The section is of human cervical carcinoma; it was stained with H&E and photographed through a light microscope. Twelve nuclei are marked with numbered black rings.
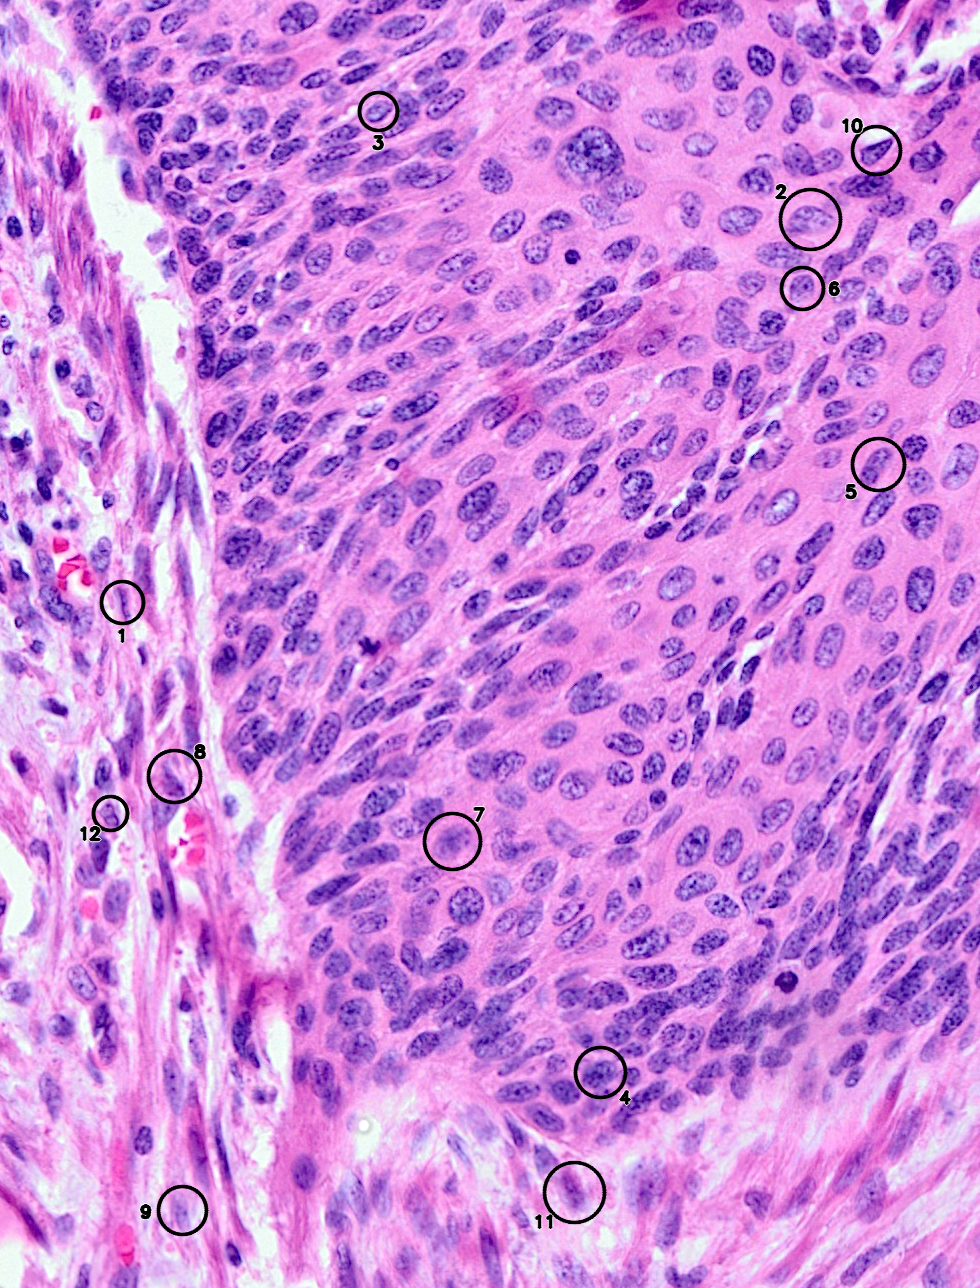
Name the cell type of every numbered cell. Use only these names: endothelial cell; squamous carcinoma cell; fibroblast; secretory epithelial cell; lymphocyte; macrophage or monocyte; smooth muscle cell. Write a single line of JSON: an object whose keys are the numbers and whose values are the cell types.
{"1": "fibroblast", "2": "squamous carcinoma cell", "3": "squamous carcinoma cell", "4": "squamous carcinoma cell", "5": "squamous carcinoma cell", "6": "squamous carcinoma cell", "7": "squamous carcinoma cell", "8": "fibroblast", "9": "fibroblast", "10": "squamous carcinoma cell", "11": "fibroblast", "12": "macrophage or monocyte"}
